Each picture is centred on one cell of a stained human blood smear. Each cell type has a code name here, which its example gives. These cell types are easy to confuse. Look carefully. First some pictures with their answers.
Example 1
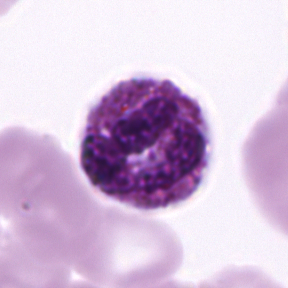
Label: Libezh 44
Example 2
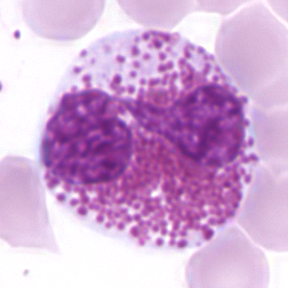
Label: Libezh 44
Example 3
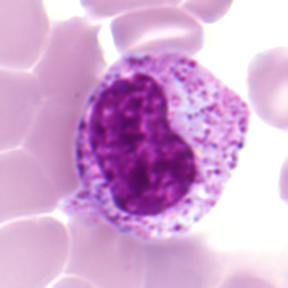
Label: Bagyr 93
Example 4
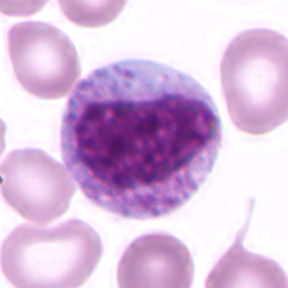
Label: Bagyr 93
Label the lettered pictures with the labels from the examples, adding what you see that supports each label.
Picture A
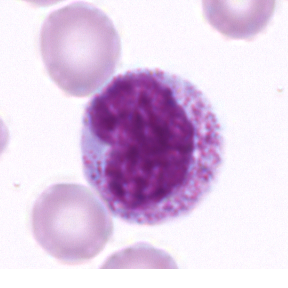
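Label: Bagyr 93. The nucleus has a deep notch on its left side, giving it a kidney shape.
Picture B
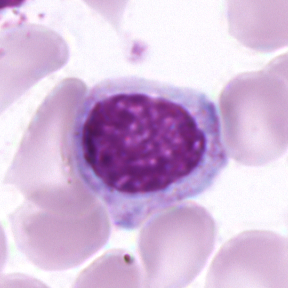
Label: Bagyr 93. Fine pinkish-purple granules are scattered through the cytoplasm, most visibly on the right and lower side.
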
